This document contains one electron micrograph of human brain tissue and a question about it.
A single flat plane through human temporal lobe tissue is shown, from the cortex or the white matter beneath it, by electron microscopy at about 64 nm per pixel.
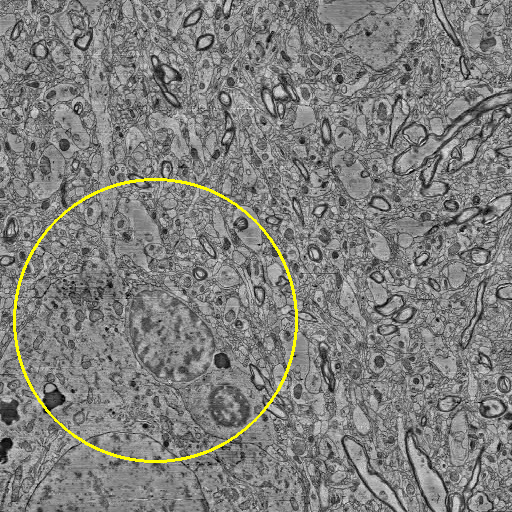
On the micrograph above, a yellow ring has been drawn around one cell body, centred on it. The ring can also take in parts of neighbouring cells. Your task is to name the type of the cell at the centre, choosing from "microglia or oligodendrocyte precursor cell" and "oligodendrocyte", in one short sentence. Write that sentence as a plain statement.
Here the ring is centred on an oligodendrocyte.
